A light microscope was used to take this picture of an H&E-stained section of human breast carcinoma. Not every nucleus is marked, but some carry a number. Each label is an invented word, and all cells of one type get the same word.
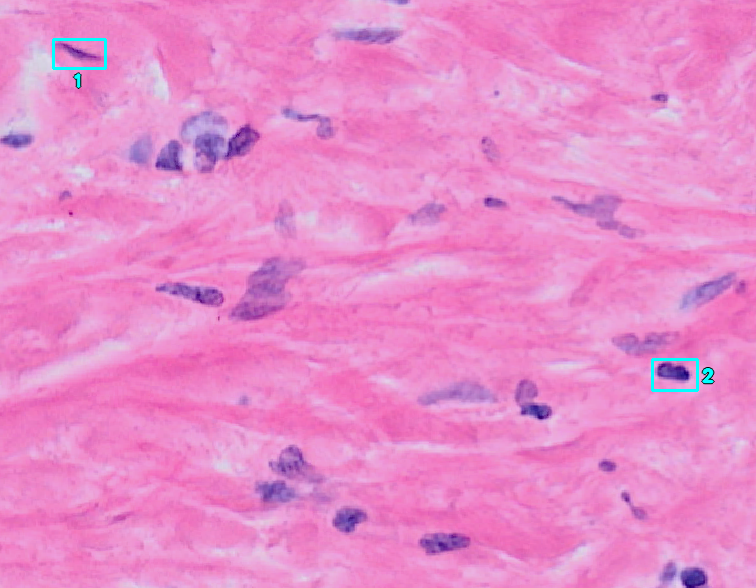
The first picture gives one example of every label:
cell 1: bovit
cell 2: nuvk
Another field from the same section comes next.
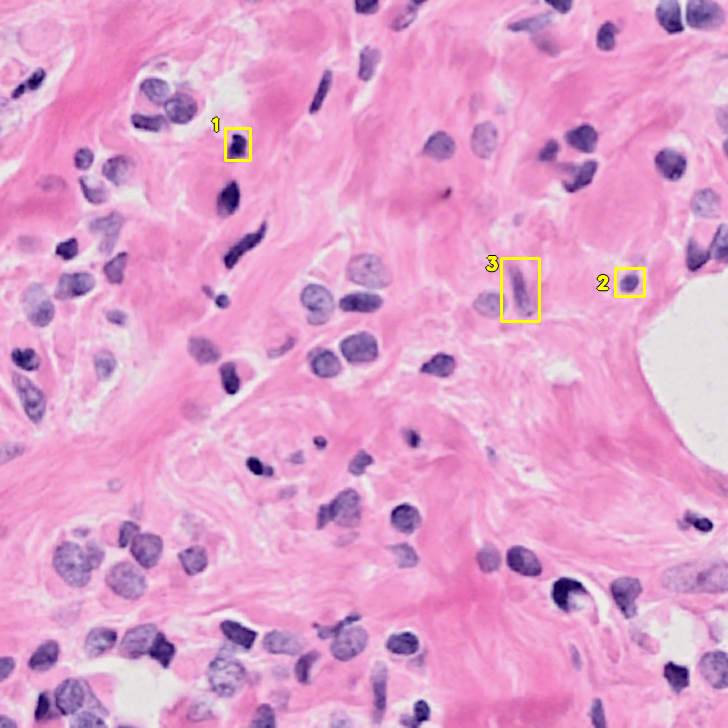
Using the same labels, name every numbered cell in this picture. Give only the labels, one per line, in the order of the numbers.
nuvk
nuvk
bovit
